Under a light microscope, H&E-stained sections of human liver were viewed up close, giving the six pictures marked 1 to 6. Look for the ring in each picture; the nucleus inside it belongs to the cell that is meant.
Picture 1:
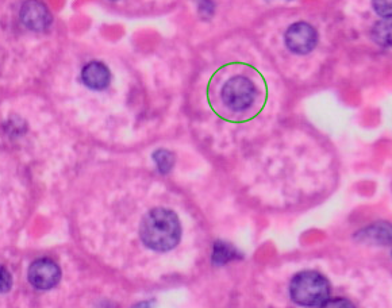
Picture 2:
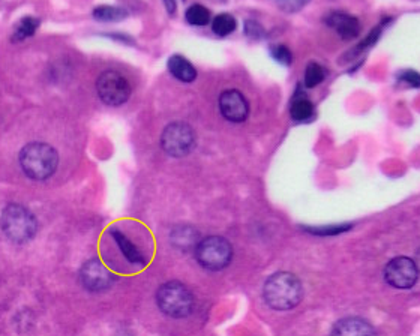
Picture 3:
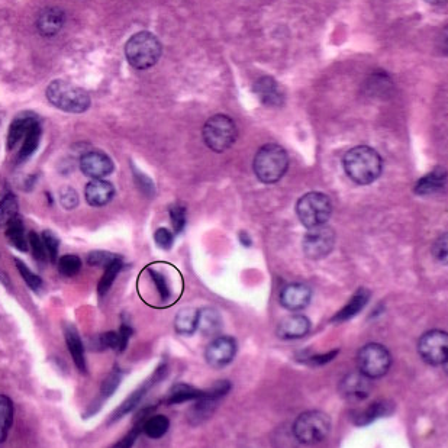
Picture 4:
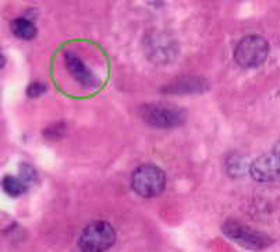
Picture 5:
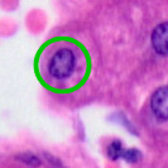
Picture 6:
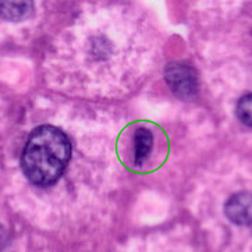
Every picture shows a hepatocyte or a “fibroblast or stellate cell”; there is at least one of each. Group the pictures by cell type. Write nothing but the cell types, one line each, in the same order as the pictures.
hepatocyte
fibroblast or stellate cell
fibroblast or stellate cell
fibroblast or stellate cell
hepatocyte
fibroblast or stellate cell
